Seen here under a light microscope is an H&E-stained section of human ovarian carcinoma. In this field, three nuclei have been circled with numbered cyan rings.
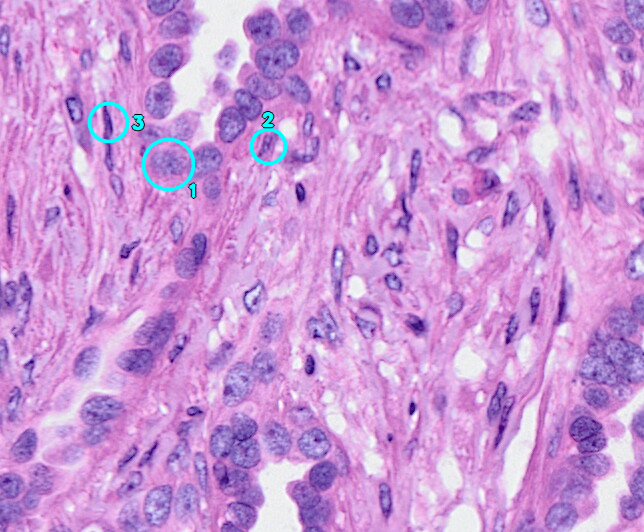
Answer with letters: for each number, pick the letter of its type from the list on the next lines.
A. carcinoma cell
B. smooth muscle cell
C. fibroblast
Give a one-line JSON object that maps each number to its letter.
{"1": "A", "2": "C", "3": "C"}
